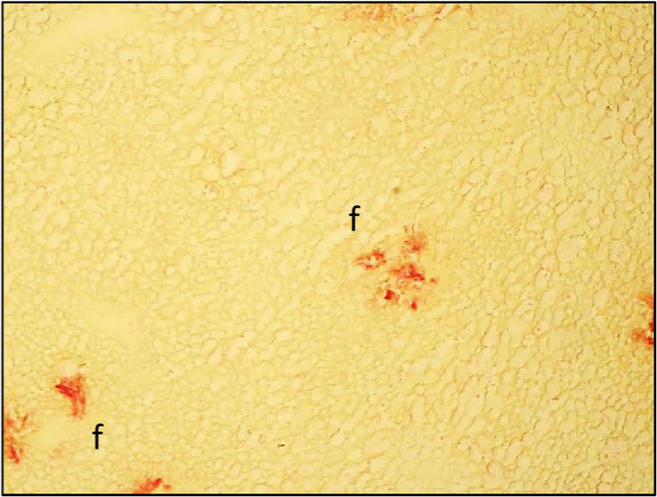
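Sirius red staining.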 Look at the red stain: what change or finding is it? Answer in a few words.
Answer: Initial foci of collagen deposition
